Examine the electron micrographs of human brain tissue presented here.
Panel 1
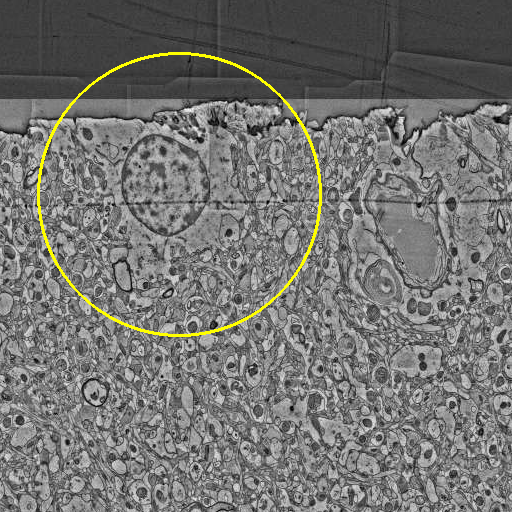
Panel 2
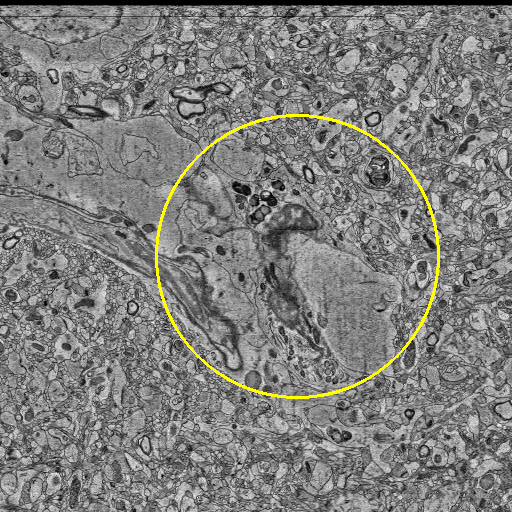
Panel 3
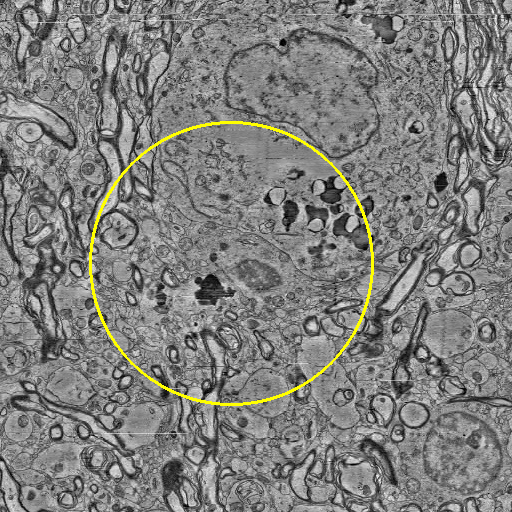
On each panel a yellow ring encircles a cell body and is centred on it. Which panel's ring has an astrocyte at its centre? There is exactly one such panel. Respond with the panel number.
1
